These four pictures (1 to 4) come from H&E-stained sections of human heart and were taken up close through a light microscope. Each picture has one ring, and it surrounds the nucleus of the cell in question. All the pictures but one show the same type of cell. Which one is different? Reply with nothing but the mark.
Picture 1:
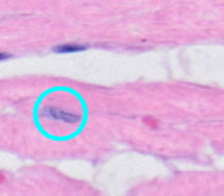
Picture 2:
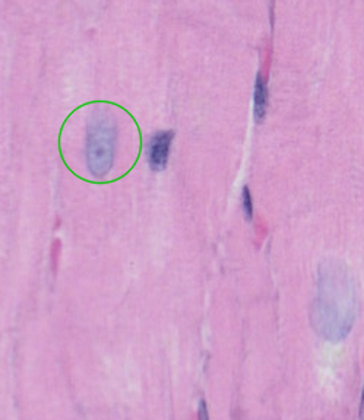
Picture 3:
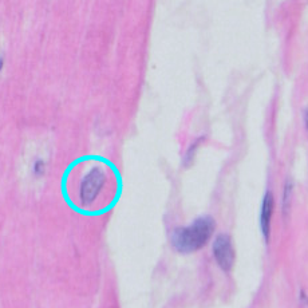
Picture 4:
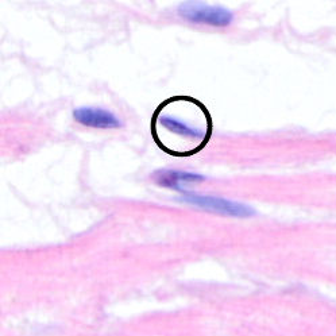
4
